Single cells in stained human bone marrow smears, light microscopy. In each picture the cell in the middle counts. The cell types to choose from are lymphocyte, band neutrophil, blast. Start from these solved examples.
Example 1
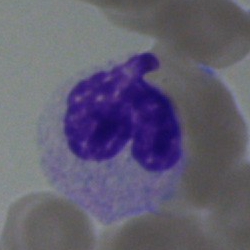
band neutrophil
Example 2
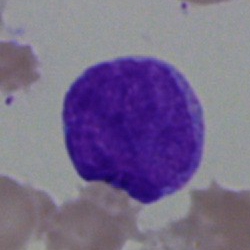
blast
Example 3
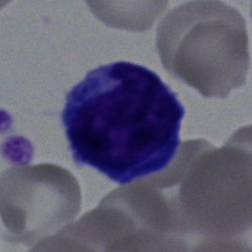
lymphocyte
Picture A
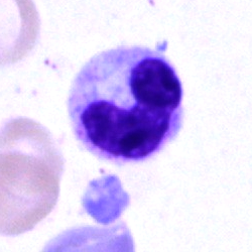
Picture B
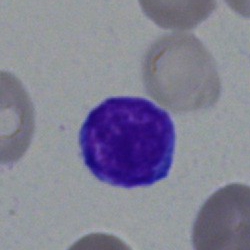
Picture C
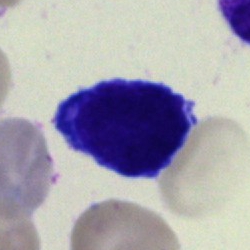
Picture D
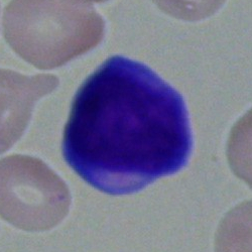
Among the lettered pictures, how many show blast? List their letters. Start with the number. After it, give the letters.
1, namely D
